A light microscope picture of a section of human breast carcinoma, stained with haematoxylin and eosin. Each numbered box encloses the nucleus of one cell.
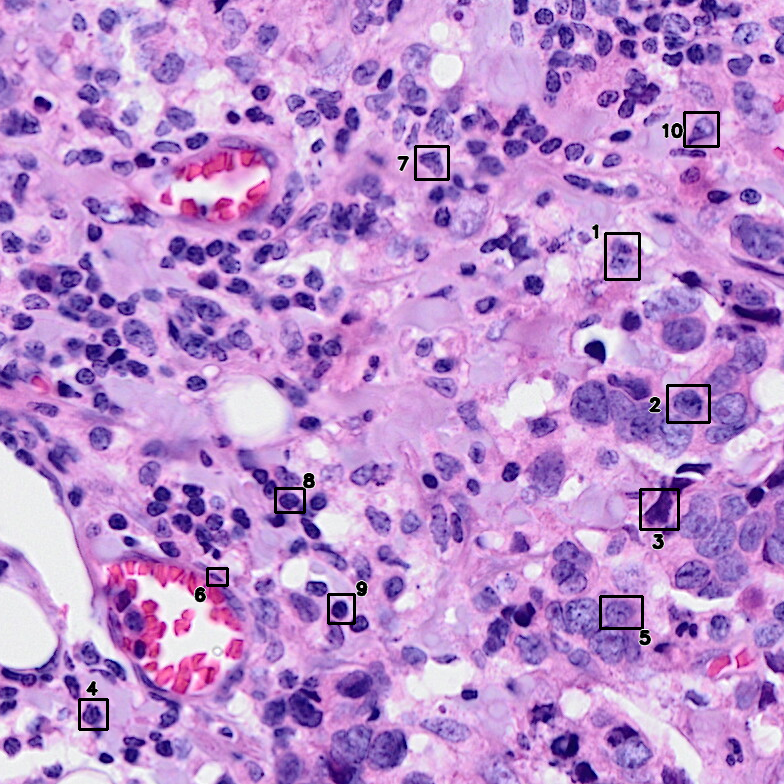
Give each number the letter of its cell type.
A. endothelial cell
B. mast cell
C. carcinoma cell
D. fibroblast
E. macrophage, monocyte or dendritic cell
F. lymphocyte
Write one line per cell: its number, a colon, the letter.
1: E
2: C
3: C
4: F
5: C
6: A
7: F
8: F
9: F
10: E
